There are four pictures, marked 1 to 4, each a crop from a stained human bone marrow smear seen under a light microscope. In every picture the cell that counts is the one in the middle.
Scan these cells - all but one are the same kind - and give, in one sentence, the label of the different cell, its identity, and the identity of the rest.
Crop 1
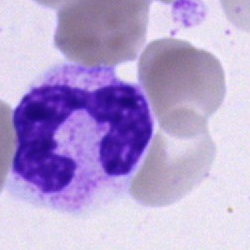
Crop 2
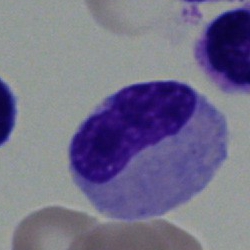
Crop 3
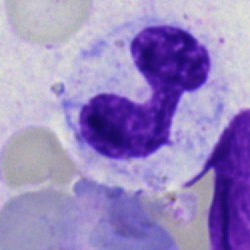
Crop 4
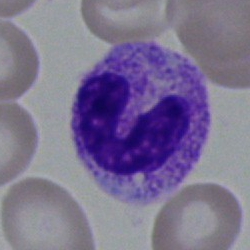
The single exception is crop 2, which is a band neutrophil; all other crops show segmented neutrophils.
